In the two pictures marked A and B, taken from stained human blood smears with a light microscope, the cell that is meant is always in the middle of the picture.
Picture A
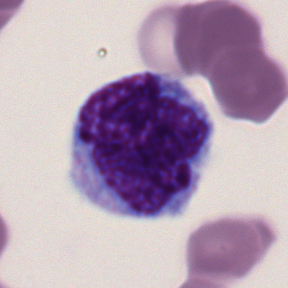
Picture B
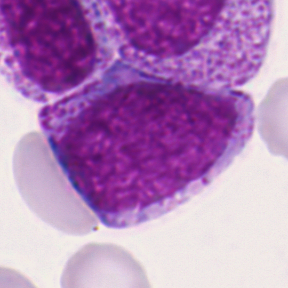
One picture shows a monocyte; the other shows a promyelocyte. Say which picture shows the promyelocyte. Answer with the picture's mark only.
B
